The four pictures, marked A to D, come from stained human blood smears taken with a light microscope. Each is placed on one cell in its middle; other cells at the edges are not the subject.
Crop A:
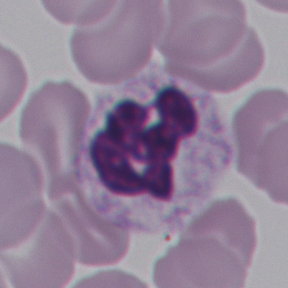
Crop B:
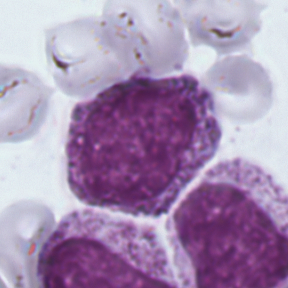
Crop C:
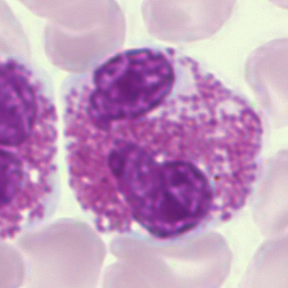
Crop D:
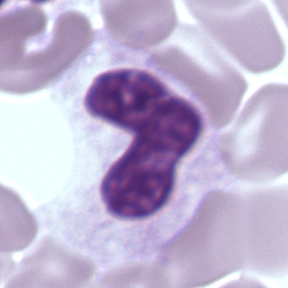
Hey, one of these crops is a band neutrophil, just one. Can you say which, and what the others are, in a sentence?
Crop D is showing a band neutrophil, while crop A is a segmented neutrophil, crop B is a myelocyte and crop C is an eosinophil.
